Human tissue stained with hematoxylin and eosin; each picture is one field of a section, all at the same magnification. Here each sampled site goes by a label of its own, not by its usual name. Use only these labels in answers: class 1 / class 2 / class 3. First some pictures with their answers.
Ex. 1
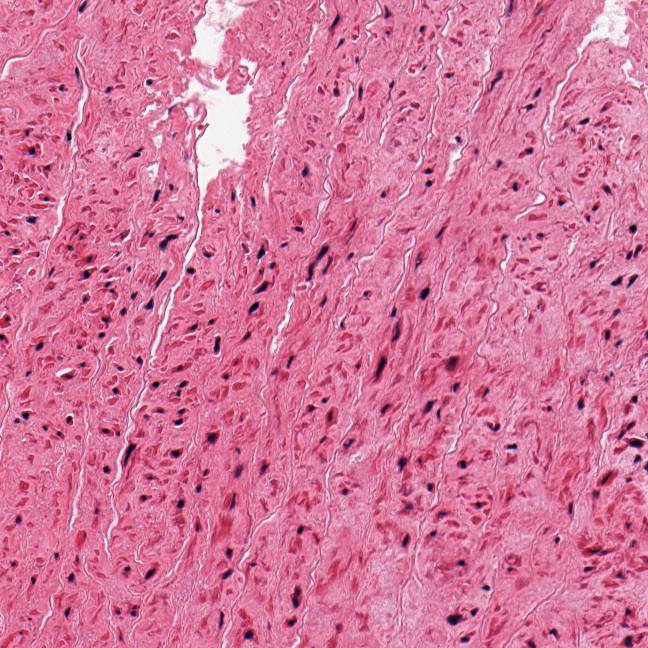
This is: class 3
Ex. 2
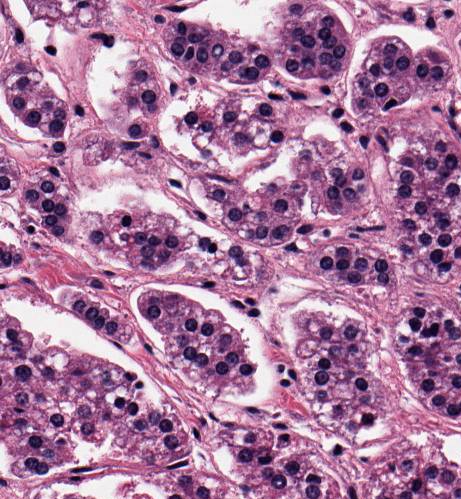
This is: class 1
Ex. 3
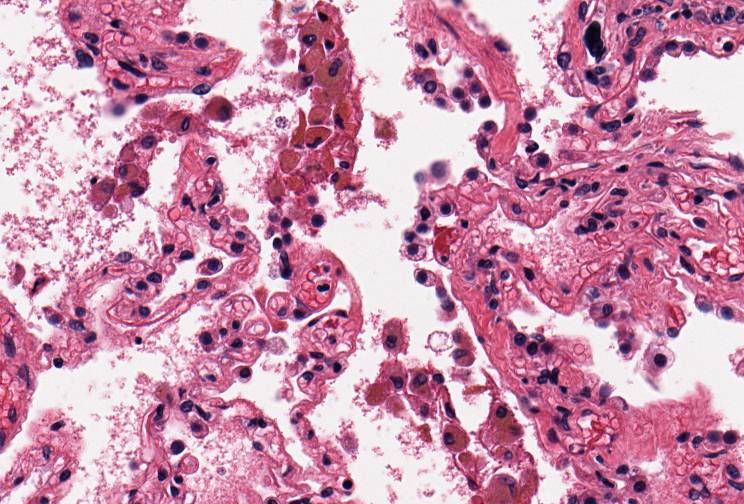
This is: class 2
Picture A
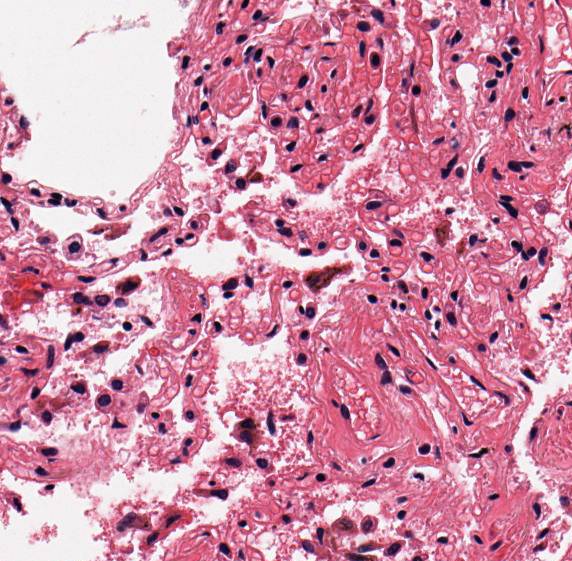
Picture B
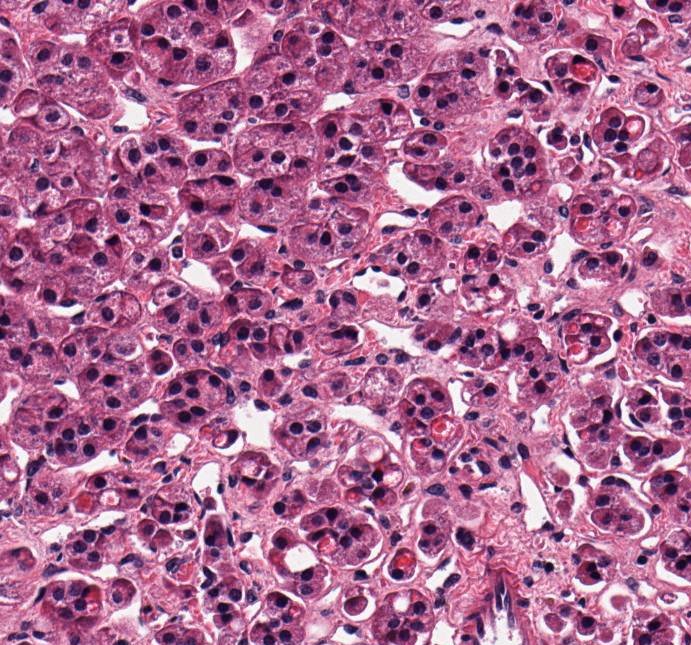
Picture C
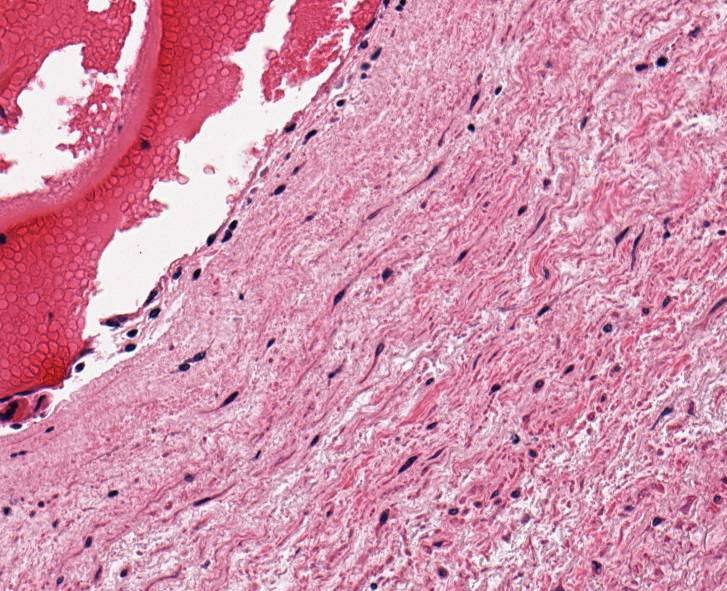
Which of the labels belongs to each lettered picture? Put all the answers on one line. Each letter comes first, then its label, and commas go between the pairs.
A class 2, B class 1, C class 3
